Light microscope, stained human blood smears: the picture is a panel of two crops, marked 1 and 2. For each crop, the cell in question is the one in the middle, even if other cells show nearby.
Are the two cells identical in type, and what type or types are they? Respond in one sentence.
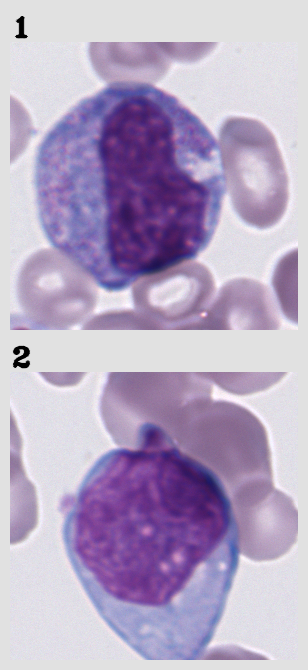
No, within crop 1 lies a promyelocyte, and within crop 2 lies a myeloblast.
